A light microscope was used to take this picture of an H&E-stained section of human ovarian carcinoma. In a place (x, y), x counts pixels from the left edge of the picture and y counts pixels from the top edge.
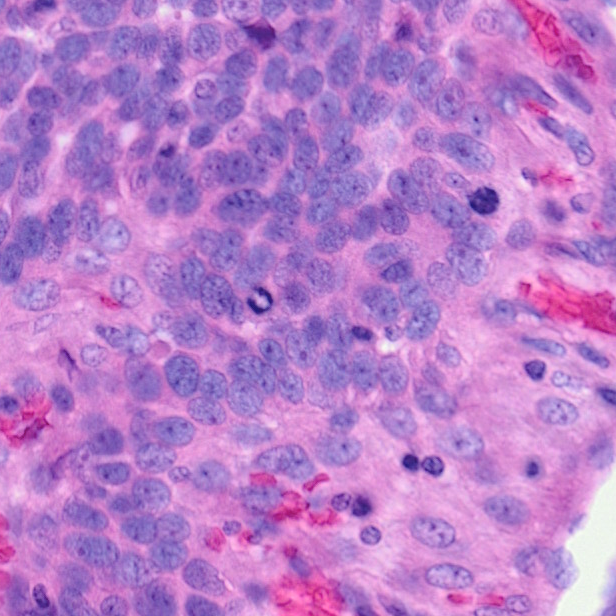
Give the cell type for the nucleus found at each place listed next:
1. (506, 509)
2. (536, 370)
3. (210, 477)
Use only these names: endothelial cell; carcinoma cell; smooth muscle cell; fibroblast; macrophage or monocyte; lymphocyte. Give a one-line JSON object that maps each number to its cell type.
{"1": "fibroblast", "2": "lymphocyte", "3": "fibroblast"}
